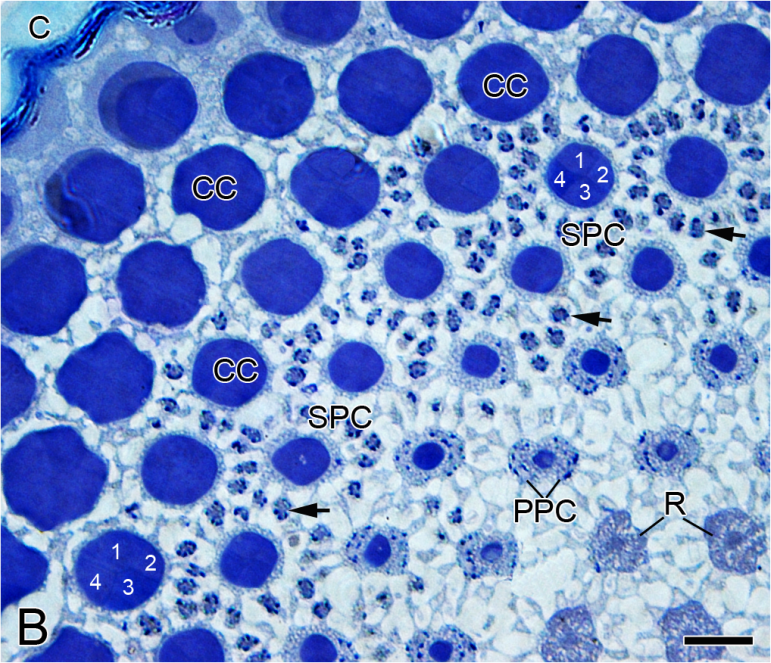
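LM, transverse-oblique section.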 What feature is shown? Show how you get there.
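Repeating round units in a regular hexagonal-like array. Units near the top left are large deep-blue discs, those toward the bottom right are smaller with a granular rim or a rosette pattern. That points to this answer: ommatidia cut at various levels.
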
